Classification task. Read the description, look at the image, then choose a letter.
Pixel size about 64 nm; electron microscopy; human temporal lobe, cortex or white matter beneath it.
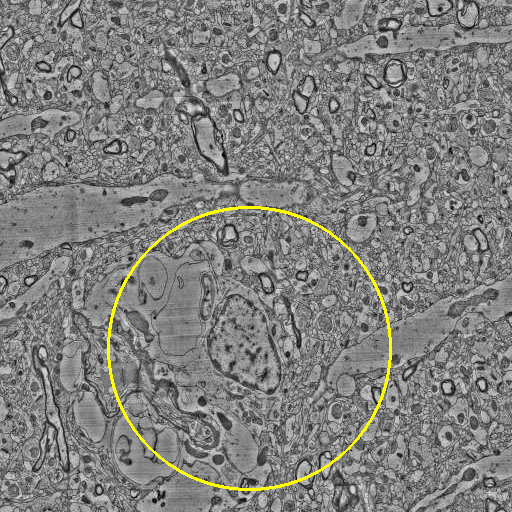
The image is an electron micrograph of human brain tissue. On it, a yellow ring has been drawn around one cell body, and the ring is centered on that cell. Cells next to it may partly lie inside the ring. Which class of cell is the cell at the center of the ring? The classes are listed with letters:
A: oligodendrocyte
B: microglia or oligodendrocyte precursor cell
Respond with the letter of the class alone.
B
